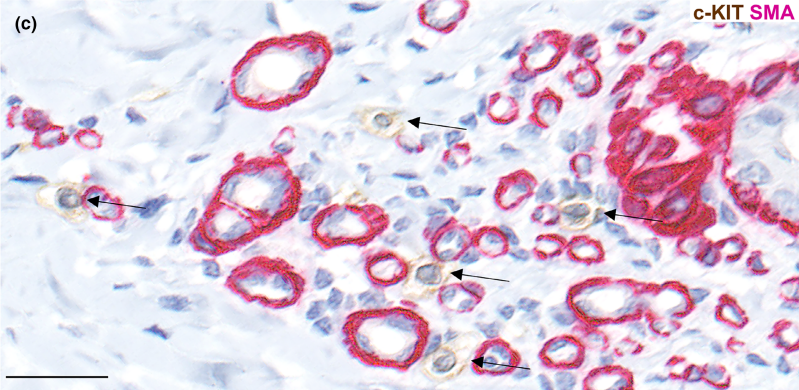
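The vessels appear as round or oval rings stained magenta, some with open pale lumina and others nearly collapsed, with flattened blue nuclei in their walls. A larger magenta-outlined structure with crowded cells lies at the right. Between the vessels, several rounded cells have a pale brown cytoplasm and a single round, dark blue central nucleus; they lie singly, often right next to a vessel wall. The surrounding connective tissue is pale and fibrous, with elongated spindle-shaped blue nuclei of stromal cells scattered throughout.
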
